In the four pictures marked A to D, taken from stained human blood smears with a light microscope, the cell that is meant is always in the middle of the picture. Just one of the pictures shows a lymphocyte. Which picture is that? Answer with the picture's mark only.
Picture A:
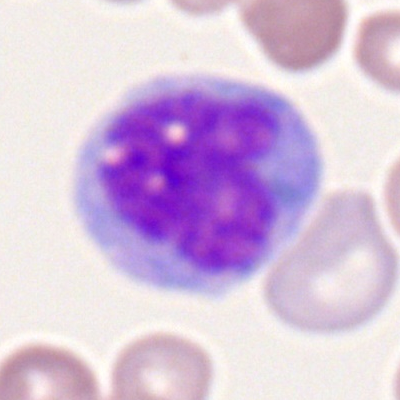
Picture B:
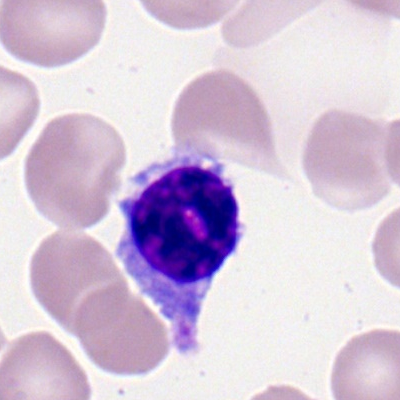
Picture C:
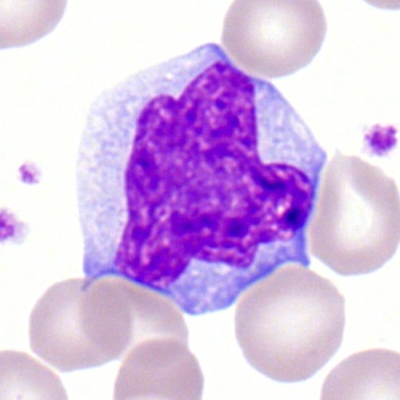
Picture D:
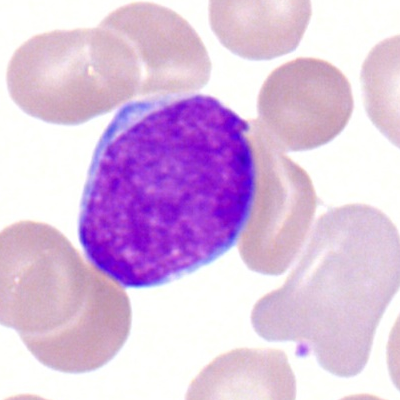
B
